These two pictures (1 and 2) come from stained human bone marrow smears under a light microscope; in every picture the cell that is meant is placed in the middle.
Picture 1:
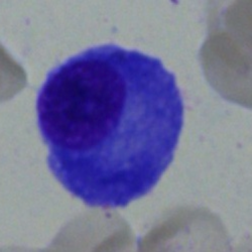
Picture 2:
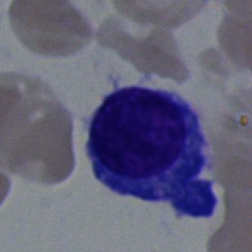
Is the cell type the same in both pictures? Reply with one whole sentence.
Yes, both cells are plasma cells.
